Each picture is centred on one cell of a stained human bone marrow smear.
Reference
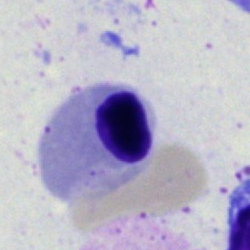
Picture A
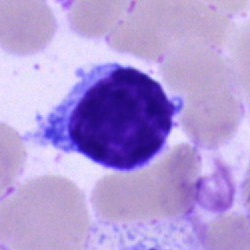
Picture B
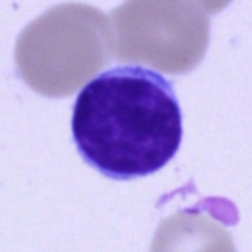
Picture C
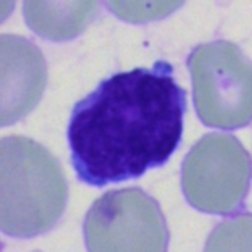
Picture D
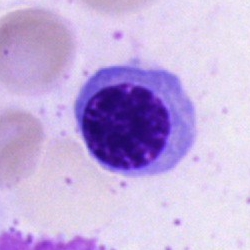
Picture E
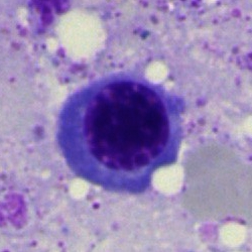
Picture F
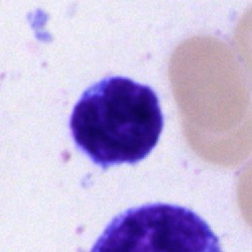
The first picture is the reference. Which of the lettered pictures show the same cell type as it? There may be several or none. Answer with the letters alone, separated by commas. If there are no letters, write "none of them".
D, E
